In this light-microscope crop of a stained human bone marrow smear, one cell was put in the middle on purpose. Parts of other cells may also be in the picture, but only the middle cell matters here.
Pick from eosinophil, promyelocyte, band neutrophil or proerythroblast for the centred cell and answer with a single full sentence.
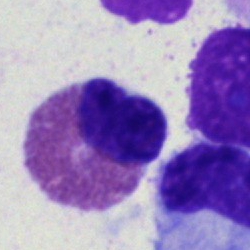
In this crop, the cell at the very middle is an eosinophil.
